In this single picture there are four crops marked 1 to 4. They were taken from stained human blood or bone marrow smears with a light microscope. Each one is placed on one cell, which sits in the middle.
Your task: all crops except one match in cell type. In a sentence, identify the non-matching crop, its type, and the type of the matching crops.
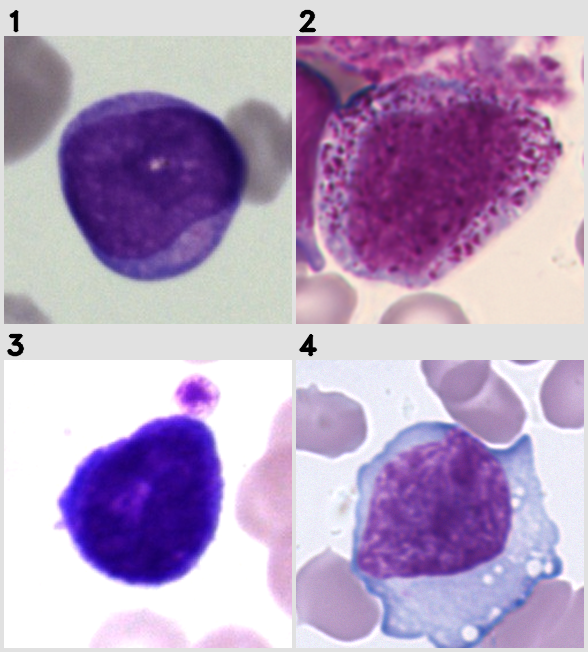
The different one is crop 2, which is a promyelocyte; the rest all show blasts.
